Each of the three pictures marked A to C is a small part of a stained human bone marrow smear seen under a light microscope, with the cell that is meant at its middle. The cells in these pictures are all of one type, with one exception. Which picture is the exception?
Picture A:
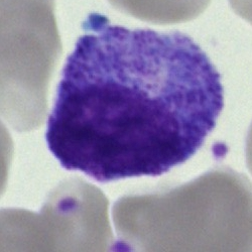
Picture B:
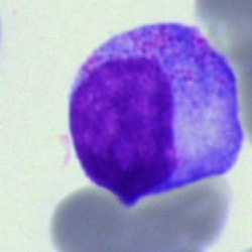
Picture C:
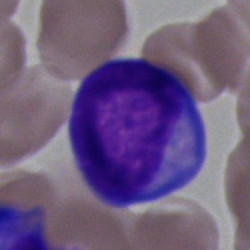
C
